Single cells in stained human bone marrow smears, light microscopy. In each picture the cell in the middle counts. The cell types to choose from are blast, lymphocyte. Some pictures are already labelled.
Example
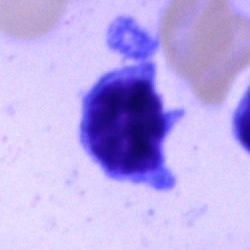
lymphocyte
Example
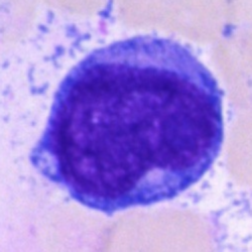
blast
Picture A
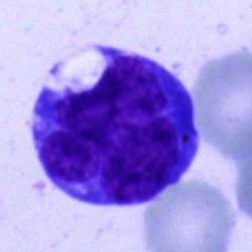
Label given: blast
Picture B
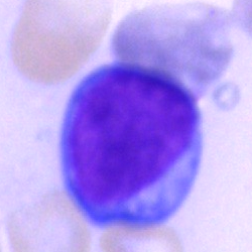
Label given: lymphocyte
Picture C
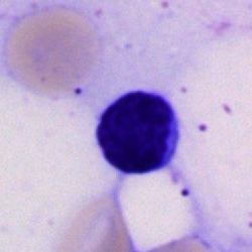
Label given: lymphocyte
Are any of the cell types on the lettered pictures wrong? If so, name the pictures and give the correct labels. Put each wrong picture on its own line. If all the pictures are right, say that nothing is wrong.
B should be blast, not lymphocyte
